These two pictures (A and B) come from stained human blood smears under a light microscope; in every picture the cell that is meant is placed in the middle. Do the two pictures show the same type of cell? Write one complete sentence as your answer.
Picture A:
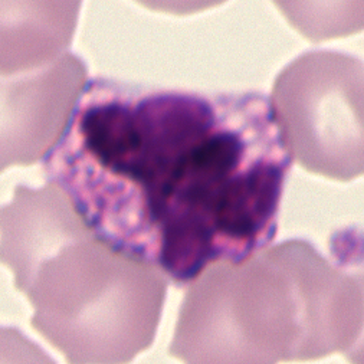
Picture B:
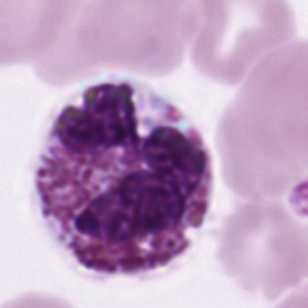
No, picture A shows a basophil and picture B shows an eosinophil.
